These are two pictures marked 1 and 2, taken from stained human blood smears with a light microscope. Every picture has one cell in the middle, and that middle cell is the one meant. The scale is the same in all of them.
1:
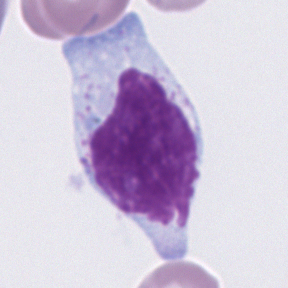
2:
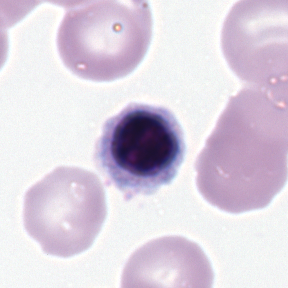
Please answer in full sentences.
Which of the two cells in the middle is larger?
Crop 1 holds the larger cell; it covers about 4 times the area of the cell in crop 2.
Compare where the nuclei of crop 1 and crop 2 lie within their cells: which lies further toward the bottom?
The nucleus in crop 1 lies further toward the bottom of its cell.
